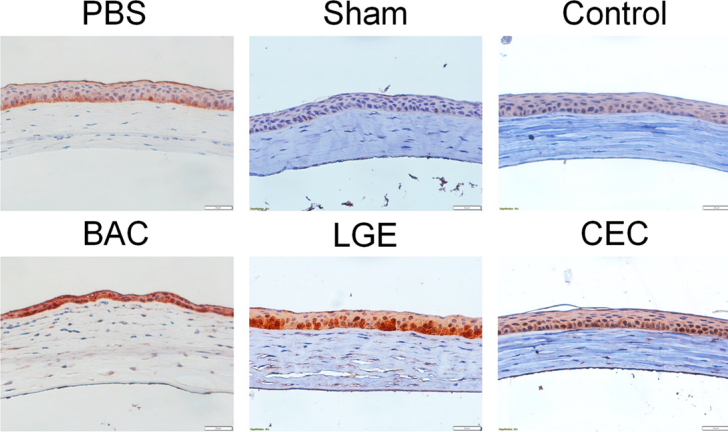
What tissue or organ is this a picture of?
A: Cornea.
